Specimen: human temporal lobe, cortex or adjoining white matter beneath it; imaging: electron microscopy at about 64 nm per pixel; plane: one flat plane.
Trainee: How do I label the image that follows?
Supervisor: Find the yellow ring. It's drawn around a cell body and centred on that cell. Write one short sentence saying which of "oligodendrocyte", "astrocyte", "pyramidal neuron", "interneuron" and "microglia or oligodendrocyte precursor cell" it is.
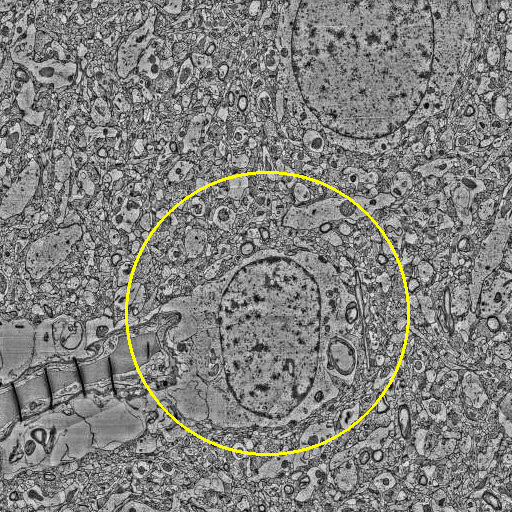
This is the cell body of a microglial cell or oligodendrocyte precursor cell.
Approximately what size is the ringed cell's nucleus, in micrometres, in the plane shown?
In this plane, approximately 10 by 7 micrometers.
